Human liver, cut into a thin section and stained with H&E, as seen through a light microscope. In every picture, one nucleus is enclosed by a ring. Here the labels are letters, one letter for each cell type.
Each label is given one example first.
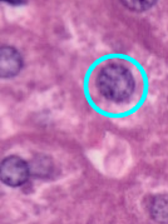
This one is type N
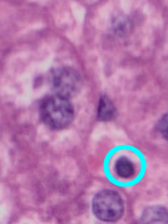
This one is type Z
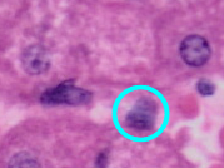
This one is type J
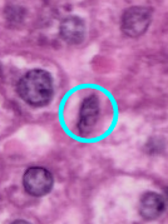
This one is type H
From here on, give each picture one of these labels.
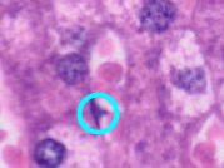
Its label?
type J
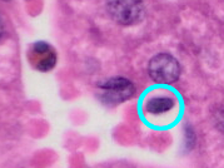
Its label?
type Z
